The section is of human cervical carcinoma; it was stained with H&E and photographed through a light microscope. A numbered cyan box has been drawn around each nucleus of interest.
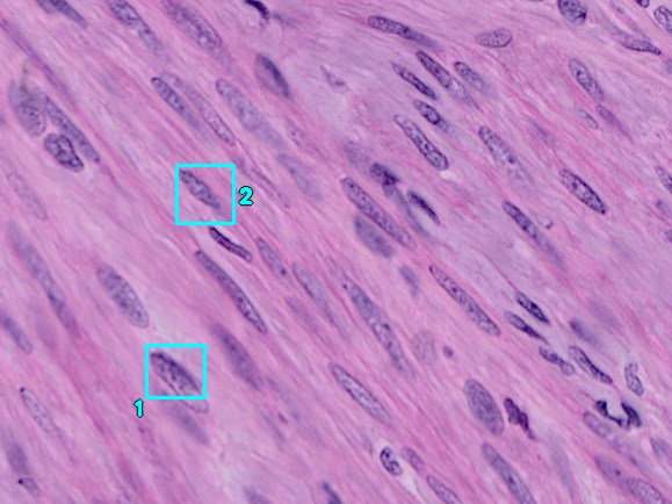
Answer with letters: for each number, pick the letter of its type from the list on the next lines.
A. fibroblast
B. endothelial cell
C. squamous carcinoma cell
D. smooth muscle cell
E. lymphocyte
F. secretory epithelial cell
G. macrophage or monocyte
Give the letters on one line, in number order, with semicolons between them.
A; D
